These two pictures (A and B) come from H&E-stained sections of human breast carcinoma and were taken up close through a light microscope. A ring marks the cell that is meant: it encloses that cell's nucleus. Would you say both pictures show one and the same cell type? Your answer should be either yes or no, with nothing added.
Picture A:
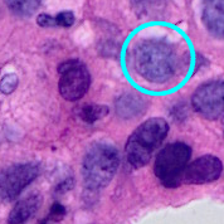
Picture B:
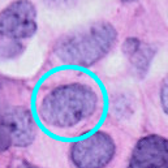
yes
